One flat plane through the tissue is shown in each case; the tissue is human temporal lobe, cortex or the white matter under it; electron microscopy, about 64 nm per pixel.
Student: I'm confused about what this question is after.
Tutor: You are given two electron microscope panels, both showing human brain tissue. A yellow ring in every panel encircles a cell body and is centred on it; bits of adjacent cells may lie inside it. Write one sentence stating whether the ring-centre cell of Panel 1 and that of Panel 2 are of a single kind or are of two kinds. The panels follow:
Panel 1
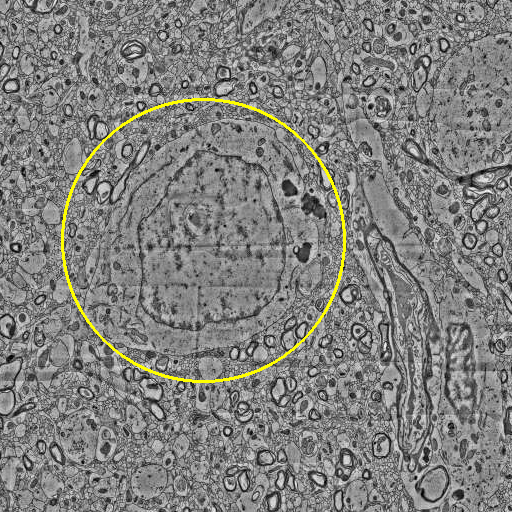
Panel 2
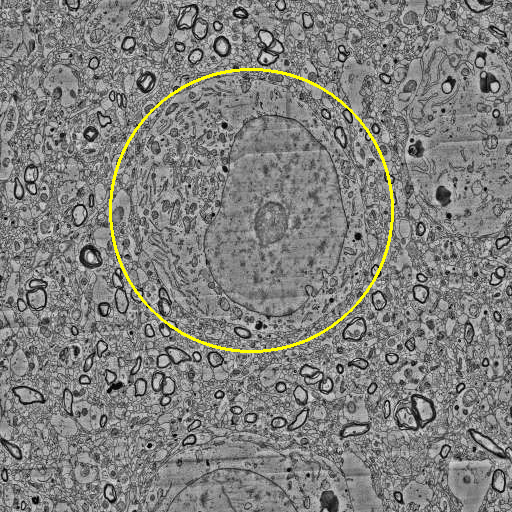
Here, the Panel 1 ring-centre cell and the Panel 2 ring-centre cell are of a single kind.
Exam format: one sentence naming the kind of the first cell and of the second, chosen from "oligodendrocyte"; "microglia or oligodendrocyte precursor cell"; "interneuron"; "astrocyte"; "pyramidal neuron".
In both pictures the ring is centred on an interneuron.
